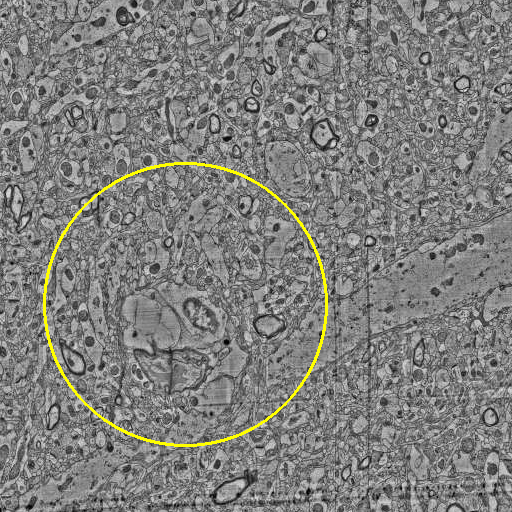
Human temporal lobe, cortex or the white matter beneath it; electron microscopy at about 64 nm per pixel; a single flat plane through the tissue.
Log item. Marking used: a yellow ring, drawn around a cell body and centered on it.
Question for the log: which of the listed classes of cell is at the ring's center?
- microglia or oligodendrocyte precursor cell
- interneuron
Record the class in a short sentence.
At the center of the ring lies a microglial cell or oligodendrocyte precursor cell.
